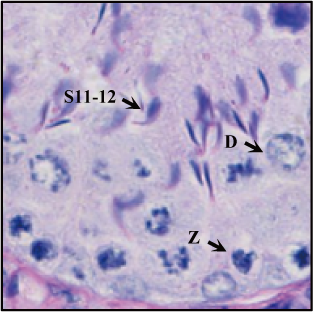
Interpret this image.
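Seminiferous epithelium with spermatocytes near the base and spermatids toward the lumen. Slender, dark blue, hooked elongated spermatid heads lie in bundles between the germ cells, while large spermatocytes with round nuclei and coarse condensed chromatin occupy the middle and basal layers. A pink basement membrane borders the tubule at the bottom left.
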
